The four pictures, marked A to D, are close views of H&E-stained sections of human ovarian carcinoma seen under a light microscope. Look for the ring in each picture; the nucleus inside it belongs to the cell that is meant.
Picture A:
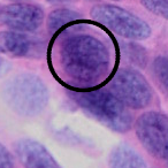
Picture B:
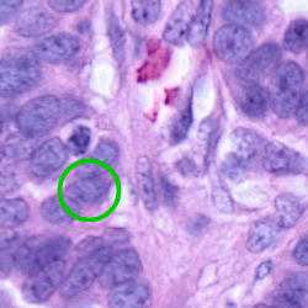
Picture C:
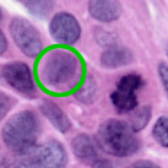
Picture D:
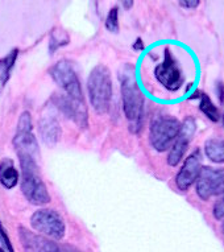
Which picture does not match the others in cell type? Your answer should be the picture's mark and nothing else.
D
